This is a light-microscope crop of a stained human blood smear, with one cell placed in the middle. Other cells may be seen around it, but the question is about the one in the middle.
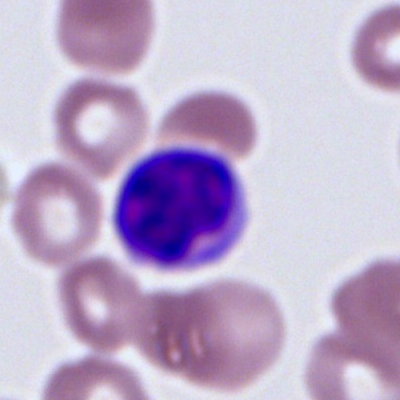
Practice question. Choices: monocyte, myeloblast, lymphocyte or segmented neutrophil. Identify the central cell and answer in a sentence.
The cell occupying the middle of the crop is a lymphocyte.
